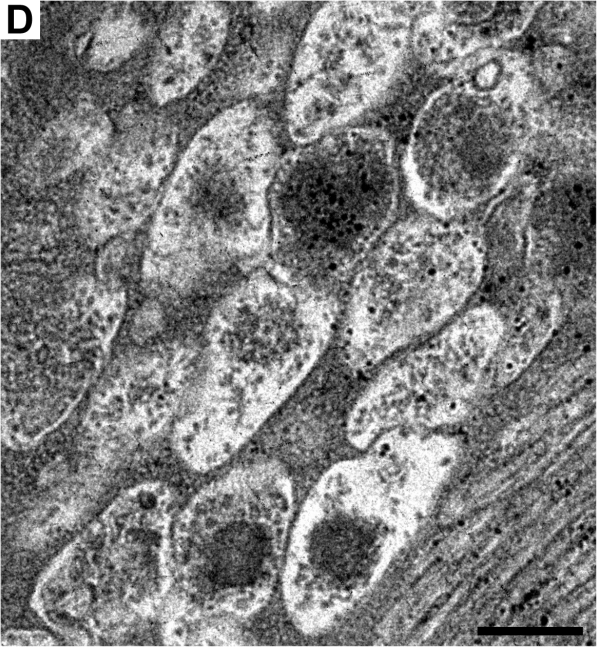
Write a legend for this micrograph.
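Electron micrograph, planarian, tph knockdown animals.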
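This is a close view of the pigment cup of the eye, where the melanosomes look immature. The granules are oval to elongated and mostly pale, with a loose, flocculent content and often only a darker patch near the centre, rather than being filled with dense material. Fine parallel striations of the rhabdomes run along the lower right edge.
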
